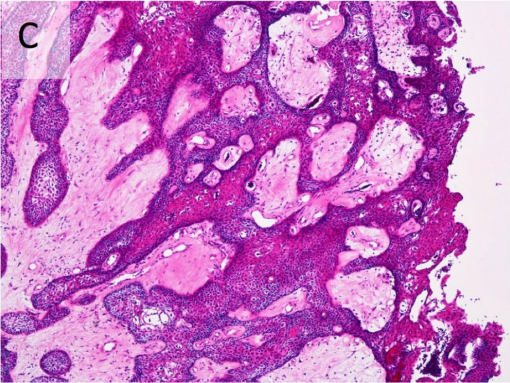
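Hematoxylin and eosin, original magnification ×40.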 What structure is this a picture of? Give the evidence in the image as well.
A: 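Finger-like projections of epithelium around stromal cores. Epithelium branches around multiple cores.
Hence: papillary structures.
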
